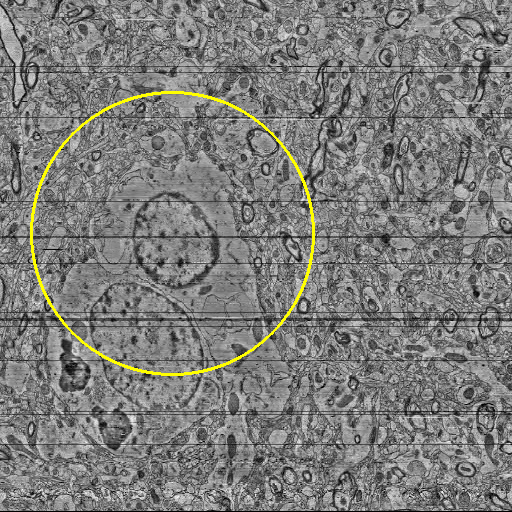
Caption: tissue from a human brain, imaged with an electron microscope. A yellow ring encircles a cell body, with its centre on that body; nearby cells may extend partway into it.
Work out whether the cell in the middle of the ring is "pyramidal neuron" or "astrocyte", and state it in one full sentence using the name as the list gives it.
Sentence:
In the picture, the cell that the yellow ring surrounds at its centre is an astrocyte.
